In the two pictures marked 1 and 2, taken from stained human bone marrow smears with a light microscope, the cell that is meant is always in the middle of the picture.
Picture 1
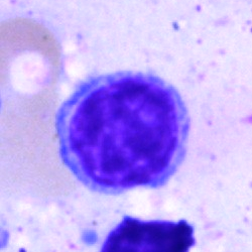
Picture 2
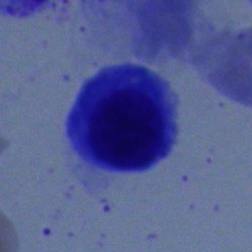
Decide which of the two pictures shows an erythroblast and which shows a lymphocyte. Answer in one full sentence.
It is picture 1 that shows a lymphocyte, and picture 2 that shows an erythroblast.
